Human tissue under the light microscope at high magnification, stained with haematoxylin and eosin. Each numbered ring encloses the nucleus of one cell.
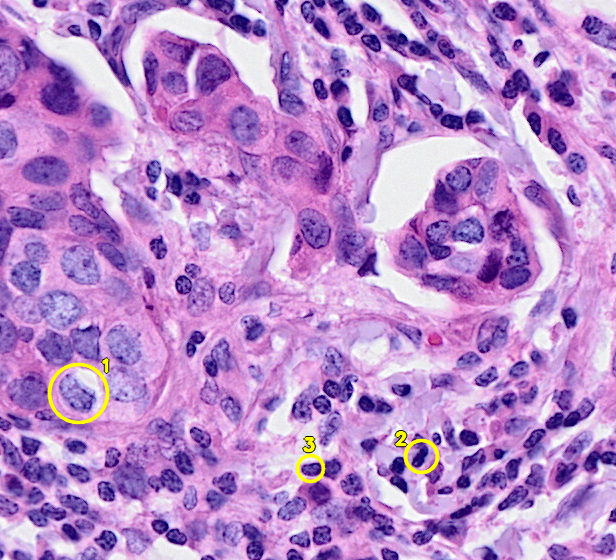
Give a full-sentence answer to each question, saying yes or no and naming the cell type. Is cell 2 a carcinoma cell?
No, in terms of cell type, cell 2 is a lymphocyte, not a carcinoma cell.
